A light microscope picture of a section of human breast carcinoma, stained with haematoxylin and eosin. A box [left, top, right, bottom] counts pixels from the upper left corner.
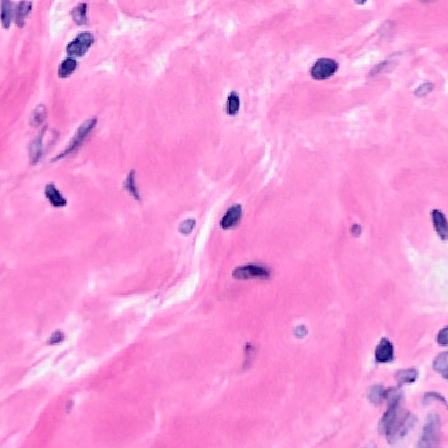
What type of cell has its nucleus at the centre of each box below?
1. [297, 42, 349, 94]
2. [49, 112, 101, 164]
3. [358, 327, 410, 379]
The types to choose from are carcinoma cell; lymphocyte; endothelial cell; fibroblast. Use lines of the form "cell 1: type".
cell 1: lymphocyte
cell 2: fibroblast
cell 3: lymphocyte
